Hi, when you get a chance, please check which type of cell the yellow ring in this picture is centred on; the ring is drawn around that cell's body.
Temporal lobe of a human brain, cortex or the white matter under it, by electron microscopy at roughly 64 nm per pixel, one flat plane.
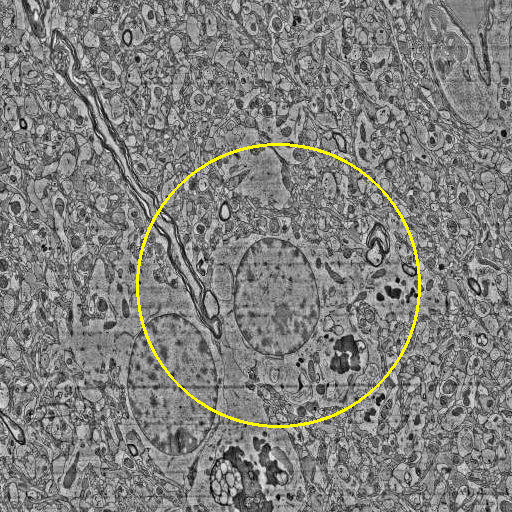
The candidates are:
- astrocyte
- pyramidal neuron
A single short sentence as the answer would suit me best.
The ring is drawn around the body of an astrocyte.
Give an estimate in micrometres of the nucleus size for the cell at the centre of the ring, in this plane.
Approximately 8 by 6 micrometers in this plane.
